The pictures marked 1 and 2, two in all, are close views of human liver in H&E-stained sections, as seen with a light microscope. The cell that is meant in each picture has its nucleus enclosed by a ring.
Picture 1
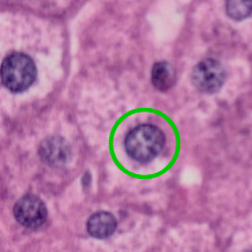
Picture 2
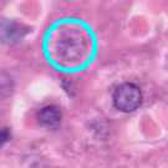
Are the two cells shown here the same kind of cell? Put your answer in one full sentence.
Yes, the two pictures both show hepatocytes.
